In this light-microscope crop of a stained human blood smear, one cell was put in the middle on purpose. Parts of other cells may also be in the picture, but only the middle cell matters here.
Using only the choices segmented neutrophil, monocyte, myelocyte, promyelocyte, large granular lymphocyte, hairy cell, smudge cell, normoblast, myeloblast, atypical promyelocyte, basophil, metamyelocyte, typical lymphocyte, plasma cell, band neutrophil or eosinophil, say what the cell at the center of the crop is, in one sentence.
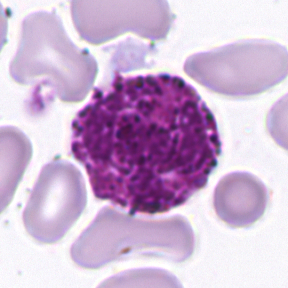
In this crop, the cell at the very middle is a basophil.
